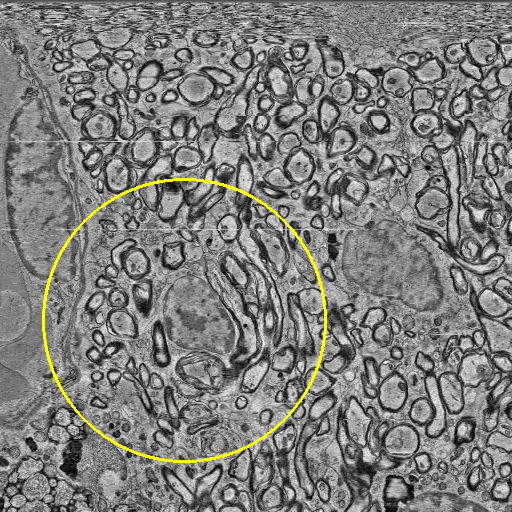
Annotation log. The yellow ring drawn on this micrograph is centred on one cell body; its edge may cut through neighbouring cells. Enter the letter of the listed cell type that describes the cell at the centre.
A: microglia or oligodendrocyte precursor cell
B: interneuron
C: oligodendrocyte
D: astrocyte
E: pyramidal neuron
A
